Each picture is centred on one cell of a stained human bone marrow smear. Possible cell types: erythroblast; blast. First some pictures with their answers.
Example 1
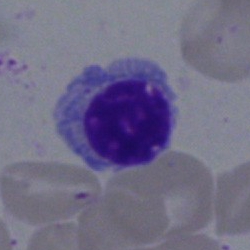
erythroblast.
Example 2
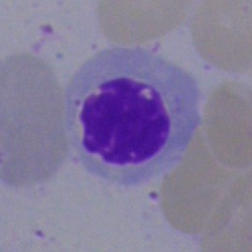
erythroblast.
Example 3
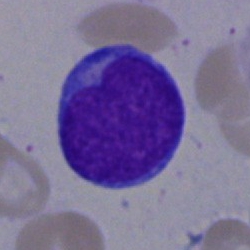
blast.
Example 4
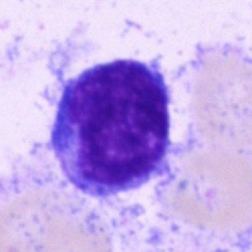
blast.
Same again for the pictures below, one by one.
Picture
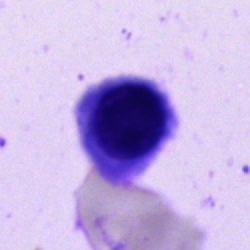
erythroblast.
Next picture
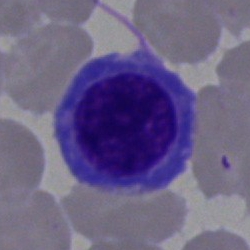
erythroblast.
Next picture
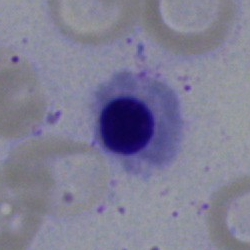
erythroblast.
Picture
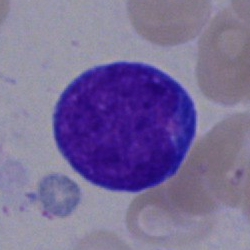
blast.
